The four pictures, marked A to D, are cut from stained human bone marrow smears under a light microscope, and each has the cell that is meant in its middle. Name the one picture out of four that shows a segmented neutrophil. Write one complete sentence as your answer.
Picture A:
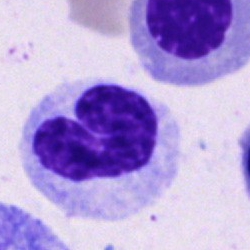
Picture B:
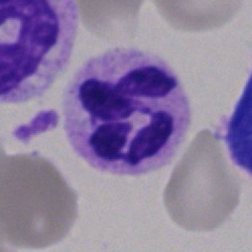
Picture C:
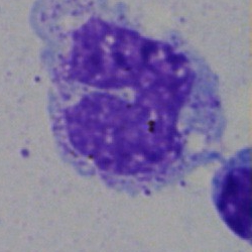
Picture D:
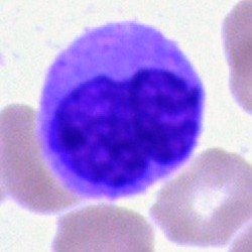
It is picture B that shows the segmented neutrophil.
